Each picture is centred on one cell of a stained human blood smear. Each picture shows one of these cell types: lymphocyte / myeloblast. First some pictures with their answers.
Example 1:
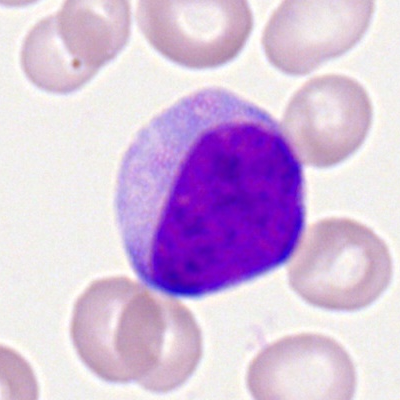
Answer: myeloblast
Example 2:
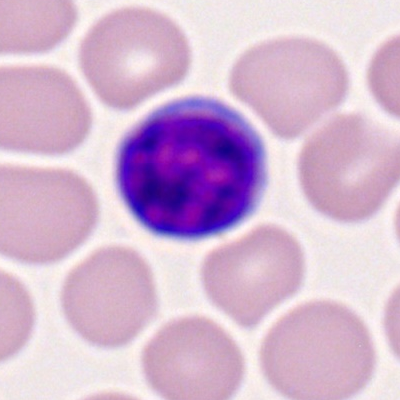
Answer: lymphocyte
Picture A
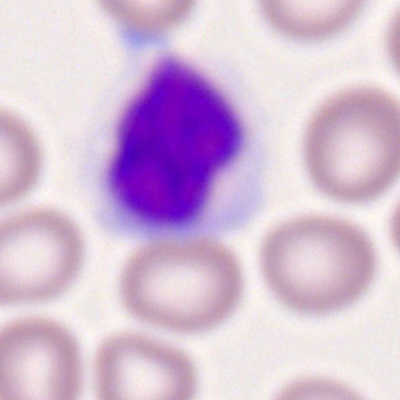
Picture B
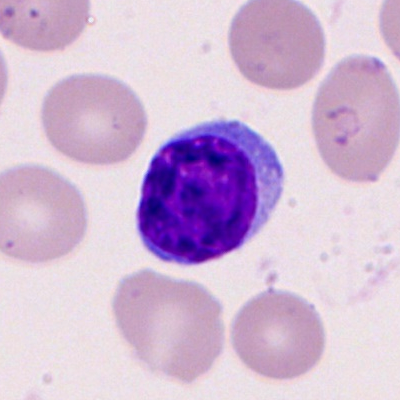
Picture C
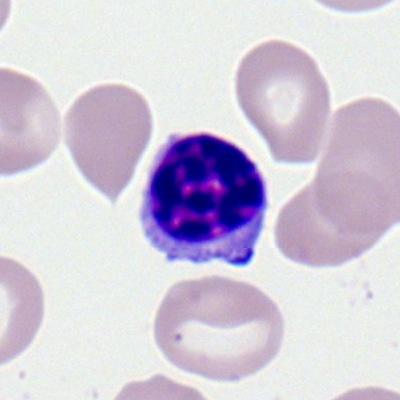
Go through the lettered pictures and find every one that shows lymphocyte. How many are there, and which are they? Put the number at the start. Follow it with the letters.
3, namely A, B, C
